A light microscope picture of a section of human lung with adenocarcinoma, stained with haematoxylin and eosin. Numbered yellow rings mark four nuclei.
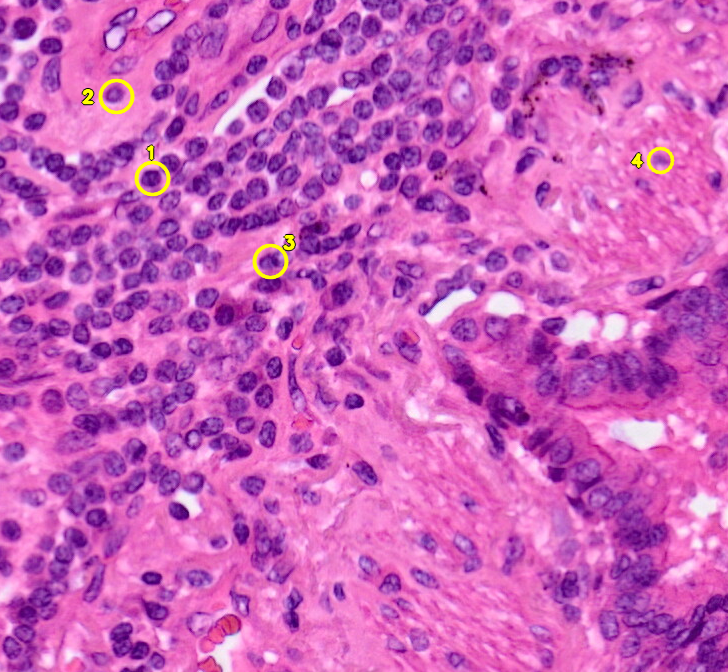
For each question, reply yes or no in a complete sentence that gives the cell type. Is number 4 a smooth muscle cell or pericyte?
Yes, that is right: the cell labelled 4 is a smooth muscle cell or pericyte.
